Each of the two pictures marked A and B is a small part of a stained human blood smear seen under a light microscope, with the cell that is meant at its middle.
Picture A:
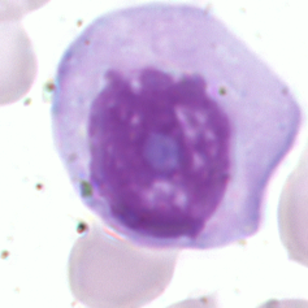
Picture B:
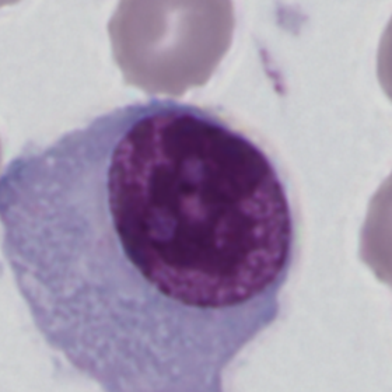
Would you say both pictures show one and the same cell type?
yes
